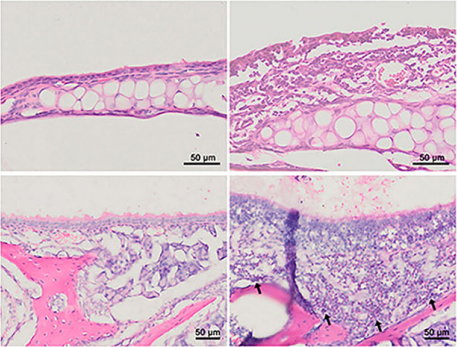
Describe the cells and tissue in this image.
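In some images the mucosa is thin and orderly, while in others it is markedly thickened and crowded with many purple-staining cells. In the thickened mucosa the tissue beneath the epithelium is densely packed with cells, consistent with an inflammatory infiltrate. Pale, rounded empty-looking spaces are seen in the upper images within the mucosa.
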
